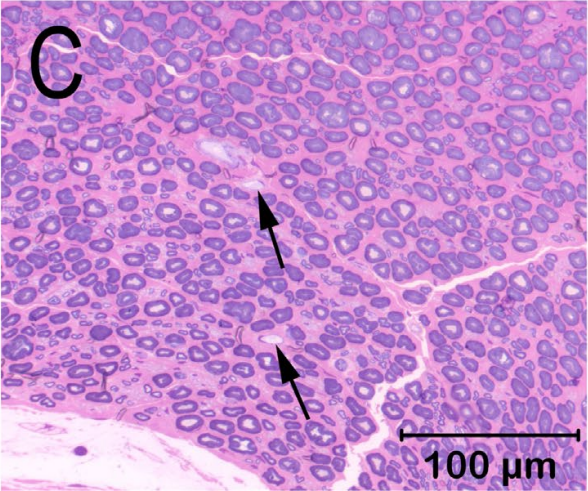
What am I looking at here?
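This transverse semithin section of a peripheral nerve shows densely packed myelinated nerve fibers cut in cross section. Each fiber appears as a dark blue ring of myelin around a paler central axon, and the fibers vary in calibre, with many small ones lying between larger ones. The fibers are embedded in a lighter, lilac-staining endoneurium, and a few pale oval profiles lie scattered among them. A band of loose, pale connective tissue borders the fascicle at the lower left.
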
